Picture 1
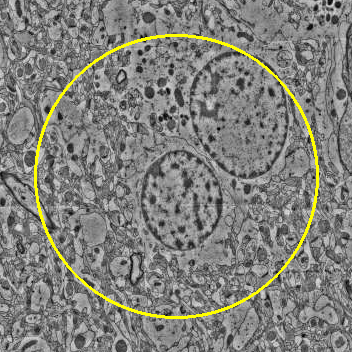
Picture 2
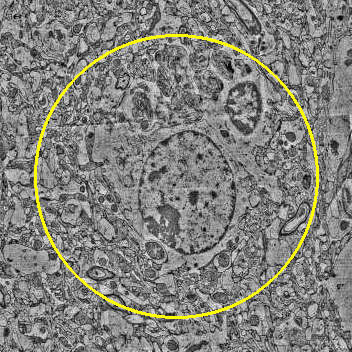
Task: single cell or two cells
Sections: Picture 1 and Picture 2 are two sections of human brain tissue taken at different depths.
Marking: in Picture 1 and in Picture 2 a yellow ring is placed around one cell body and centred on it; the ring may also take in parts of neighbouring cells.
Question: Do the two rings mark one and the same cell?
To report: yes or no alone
yes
